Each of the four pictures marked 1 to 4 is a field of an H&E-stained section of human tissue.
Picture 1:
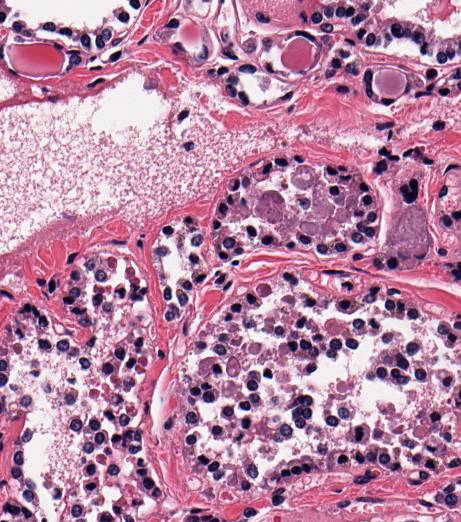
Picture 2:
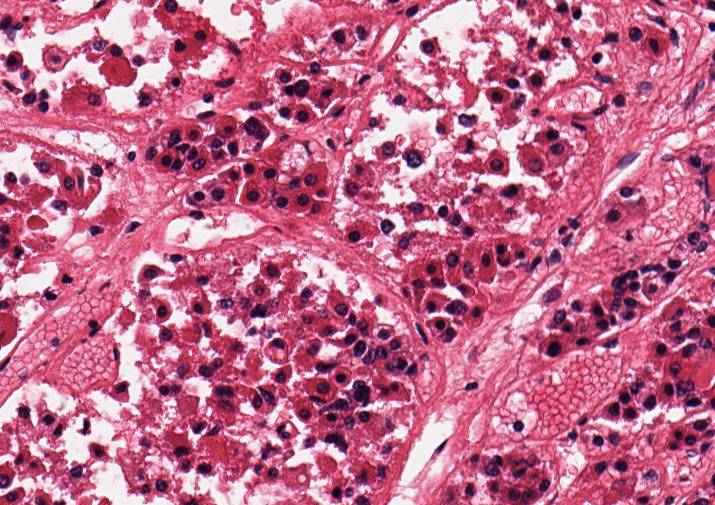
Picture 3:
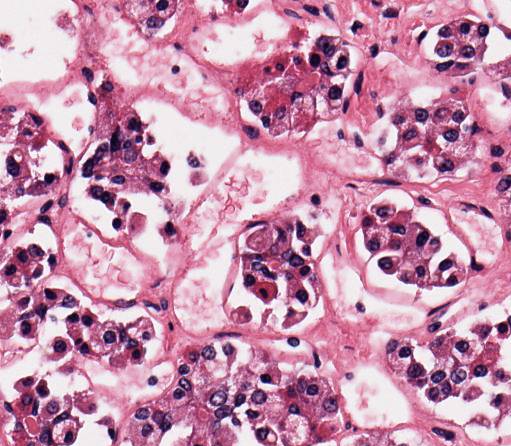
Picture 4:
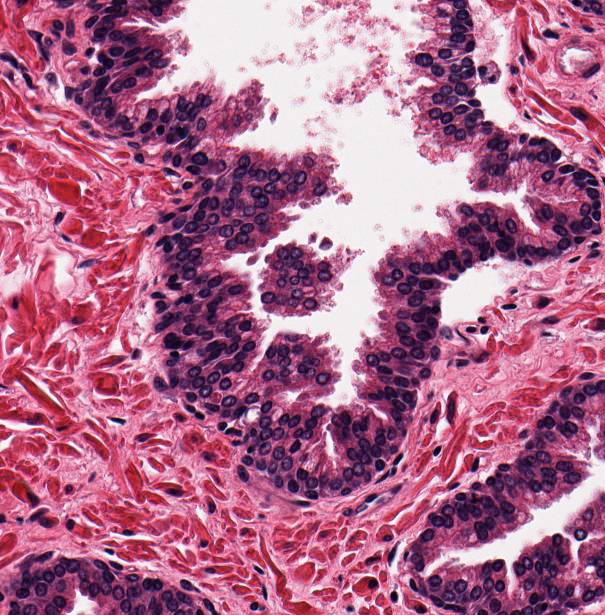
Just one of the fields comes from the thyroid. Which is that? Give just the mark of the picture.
1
